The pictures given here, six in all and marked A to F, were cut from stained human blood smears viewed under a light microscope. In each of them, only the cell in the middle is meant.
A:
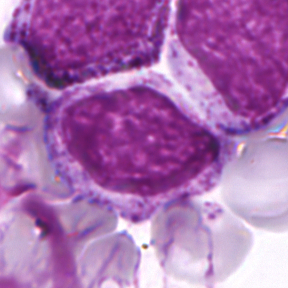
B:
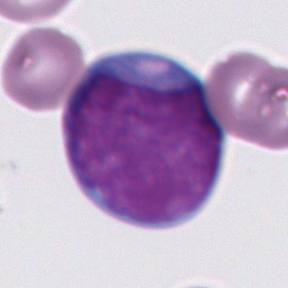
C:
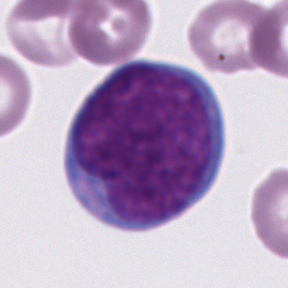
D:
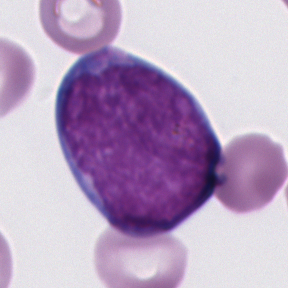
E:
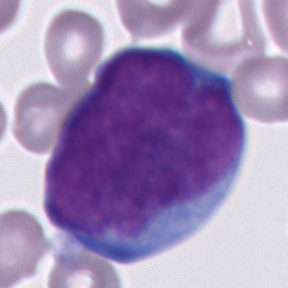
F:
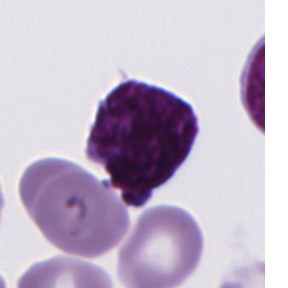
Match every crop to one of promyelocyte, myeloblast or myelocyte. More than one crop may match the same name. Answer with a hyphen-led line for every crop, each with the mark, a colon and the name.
- A: myelocyte
- B: myeloblast
- C: myeloblast
- D: myeloblast
- E: myeloblast
- F: myeloblast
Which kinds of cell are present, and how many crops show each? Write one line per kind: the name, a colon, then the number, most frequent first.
myeloblast: 5
myelocyte: 1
